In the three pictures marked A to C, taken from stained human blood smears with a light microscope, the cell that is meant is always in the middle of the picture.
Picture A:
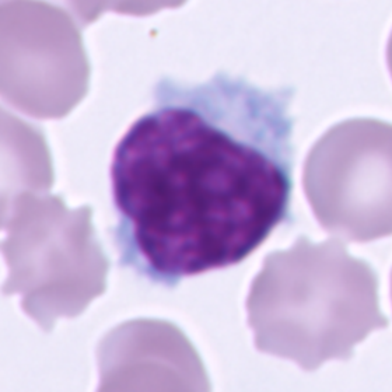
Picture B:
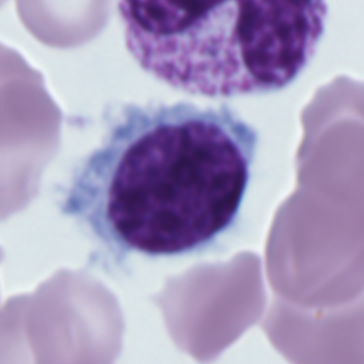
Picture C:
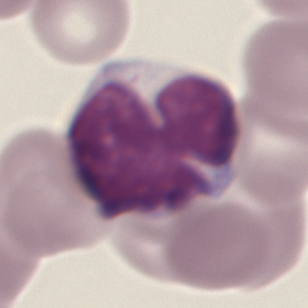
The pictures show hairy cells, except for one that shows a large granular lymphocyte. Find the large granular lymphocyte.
C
